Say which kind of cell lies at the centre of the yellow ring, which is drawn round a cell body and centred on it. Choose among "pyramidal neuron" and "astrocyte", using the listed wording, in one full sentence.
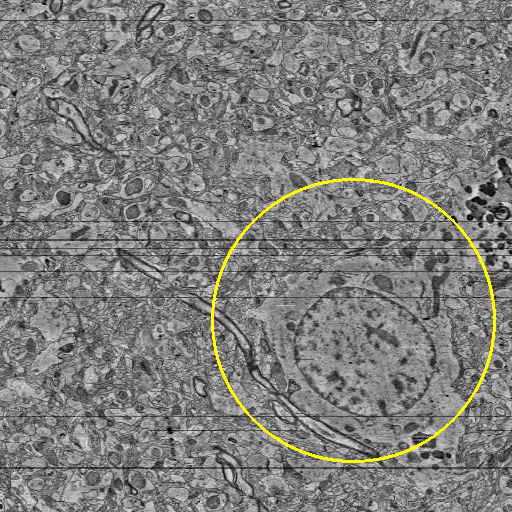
Going by the list, the cell at the yellow ring's centre is an astrocyte.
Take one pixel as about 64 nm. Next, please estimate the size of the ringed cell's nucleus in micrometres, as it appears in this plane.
In this plane, approximately 9 by 8 micrometers.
